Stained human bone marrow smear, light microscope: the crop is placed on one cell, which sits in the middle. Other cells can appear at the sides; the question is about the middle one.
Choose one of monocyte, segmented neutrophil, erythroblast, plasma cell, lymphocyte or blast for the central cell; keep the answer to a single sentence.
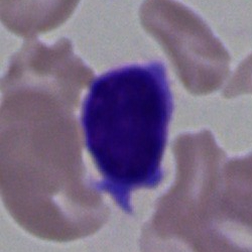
On this slide crop, the central cell is a lymphocyte.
